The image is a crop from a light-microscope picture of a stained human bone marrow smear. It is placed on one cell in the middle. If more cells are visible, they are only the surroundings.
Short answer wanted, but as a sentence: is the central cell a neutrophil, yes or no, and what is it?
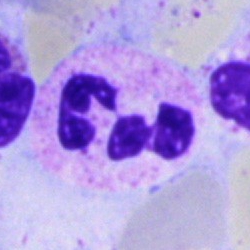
Yes, the identity of the central cell is that of a neutrophil.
